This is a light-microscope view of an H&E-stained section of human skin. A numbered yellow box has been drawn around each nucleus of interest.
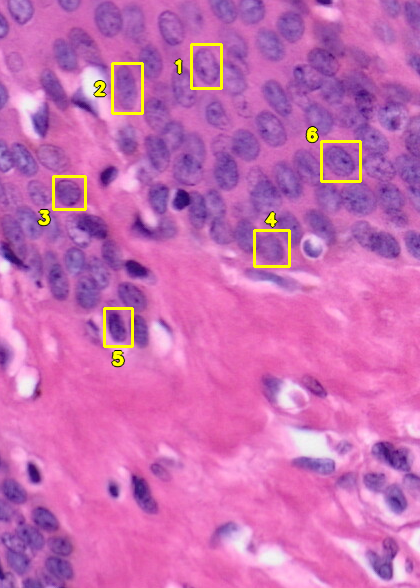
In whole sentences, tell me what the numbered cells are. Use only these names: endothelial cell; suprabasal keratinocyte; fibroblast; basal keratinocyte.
Cell 1 is a suprabasal keratinocyte, cell 2 is a basal keratinocyte, cell 3 is a basal keratinocyte, cell 4 is a basal keratinocyte, cell 5 is a basal keratinocyte and cell 6 is a suprabasal keratinocyte.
